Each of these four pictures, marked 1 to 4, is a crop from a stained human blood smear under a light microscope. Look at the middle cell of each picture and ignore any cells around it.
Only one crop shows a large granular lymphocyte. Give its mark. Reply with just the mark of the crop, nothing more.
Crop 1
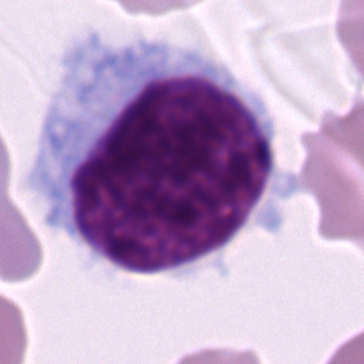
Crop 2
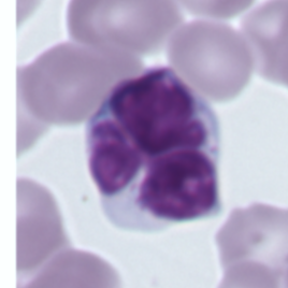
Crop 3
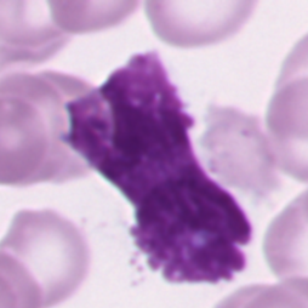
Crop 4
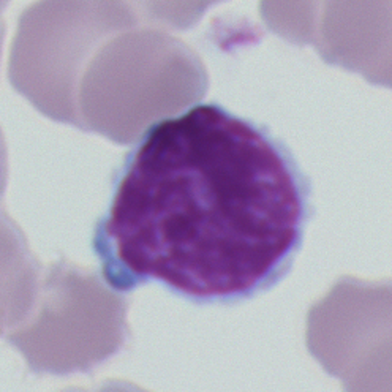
2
